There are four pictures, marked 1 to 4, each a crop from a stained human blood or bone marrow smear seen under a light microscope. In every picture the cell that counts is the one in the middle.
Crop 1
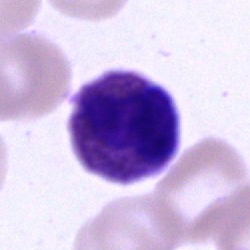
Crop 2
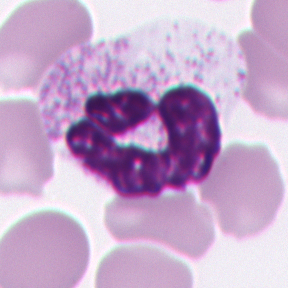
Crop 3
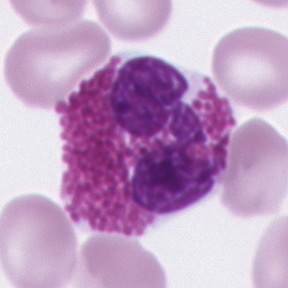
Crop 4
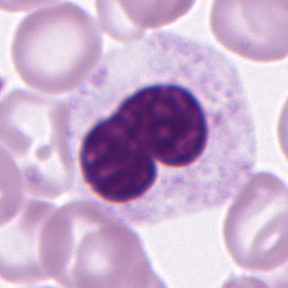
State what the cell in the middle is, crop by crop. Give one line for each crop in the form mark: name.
1: eosinophil
2: neutrophil
3: eosinophil
4: neutrophil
